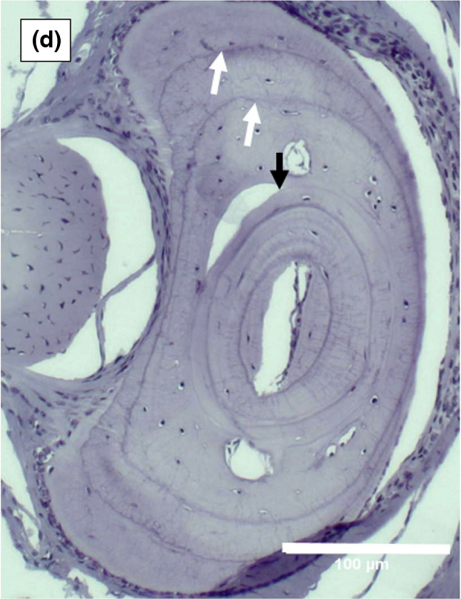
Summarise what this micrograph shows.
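Close around the cavity the bone forms concentric layers, and a clear line separates this inner bone from the broader outer bone; the section has partly split along that line. In the outer bone further thin lines run parallel to the bone surface. A neighbouring skeletal element with many evenly scattered cells lies against the bone at the left, and a layer of soft tissue with nuclei covers the outside.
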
